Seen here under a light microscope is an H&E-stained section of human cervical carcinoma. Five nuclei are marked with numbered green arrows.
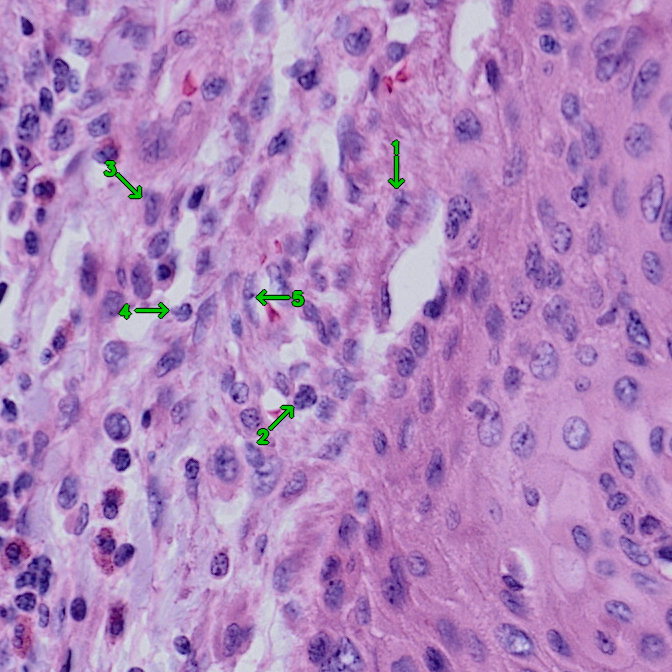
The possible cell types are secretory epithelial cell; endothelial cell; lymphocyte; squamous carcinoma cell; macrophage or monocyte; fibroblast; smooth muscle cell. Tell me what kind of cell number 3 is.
macrophage or monocyte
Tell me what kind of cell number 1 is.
fibroblast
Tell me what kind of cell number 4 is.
lymphocyte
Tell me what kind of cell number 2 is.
lymphocyte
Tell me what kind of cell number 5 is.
endothelial cell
